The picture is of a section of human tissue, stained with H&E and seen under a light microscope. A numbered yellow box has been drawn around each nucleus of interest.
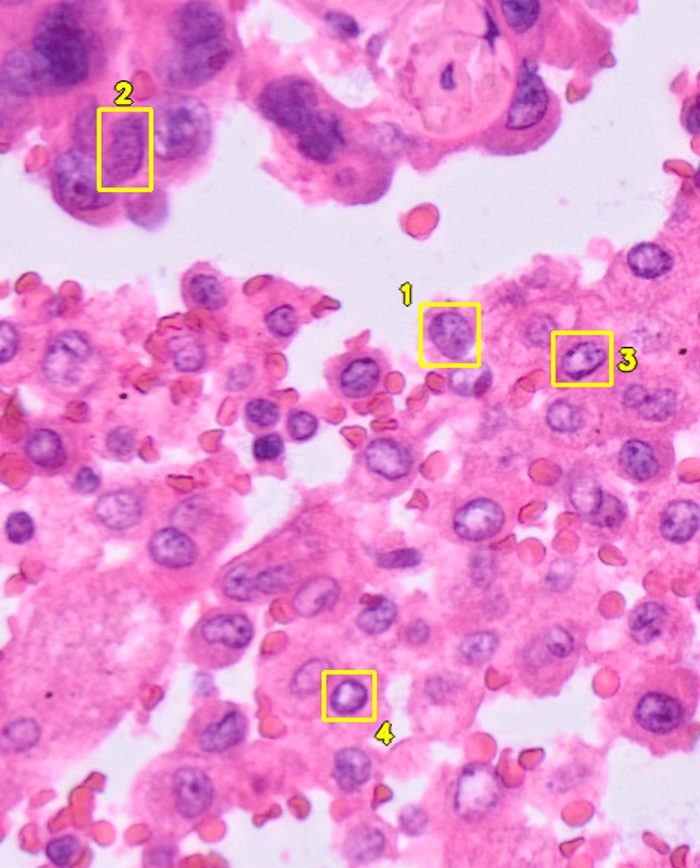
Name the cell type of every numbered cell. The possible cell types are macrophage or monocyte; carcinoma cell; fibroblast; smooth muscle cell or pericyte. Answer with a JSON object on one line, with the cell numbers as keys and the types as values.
{"1": "macrophage or monocyte", "2": "carcinoma cell", "3": "macrophage or monocyte", "4": "macrophage or monocyte"}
